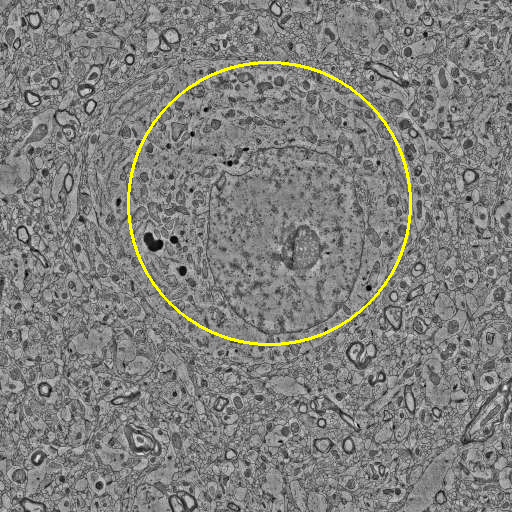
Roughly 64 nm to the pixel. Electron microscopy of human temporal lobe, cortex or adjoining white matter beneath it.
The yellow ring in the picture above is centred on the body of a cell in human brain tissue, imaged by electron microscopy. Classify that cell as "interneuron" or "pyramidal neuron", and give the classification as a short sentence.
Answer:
The cell in the middle of the ring is an interneuron.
